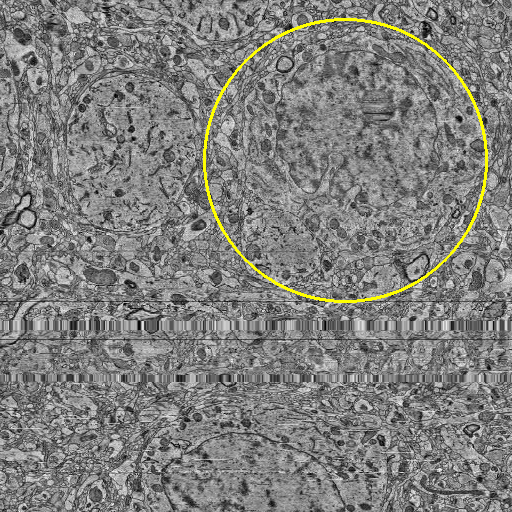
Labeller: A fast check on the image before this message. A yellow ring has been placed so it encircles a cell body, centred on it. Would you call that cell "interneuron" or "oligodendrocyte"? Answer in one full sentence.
In this image, an interneuron is the cell on which the yellow ring is centred.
